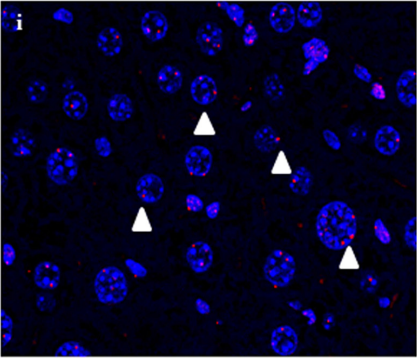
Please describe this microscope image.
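Most nuclei are large and round with speckled chromatin, and among them lie smaller, elongated nuclei. Many nuclei carry one or a few small bright red dots, and the white arrowheads point to such dotted nuclei.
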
